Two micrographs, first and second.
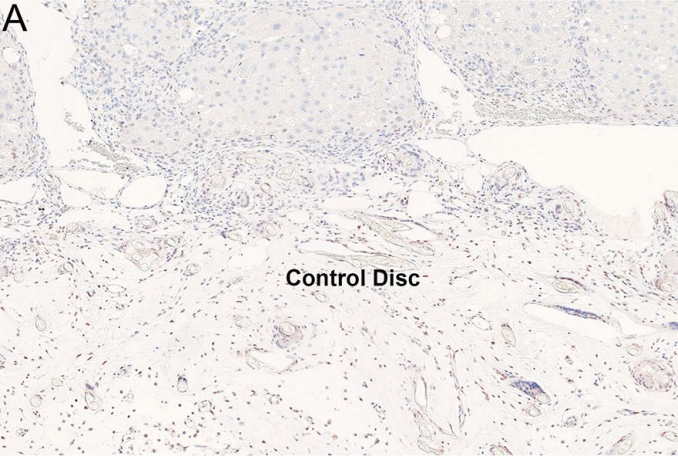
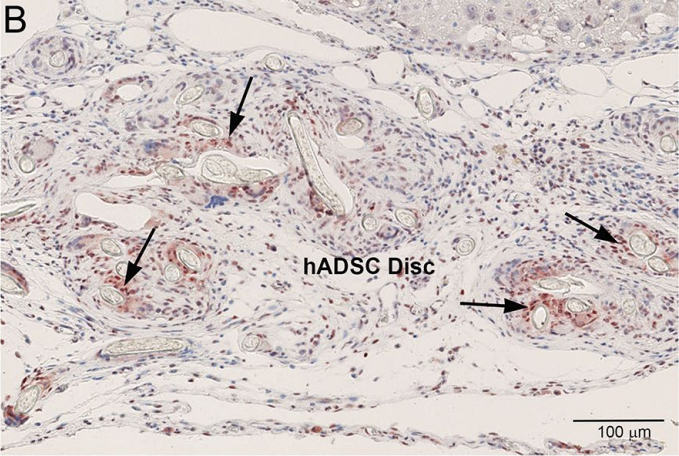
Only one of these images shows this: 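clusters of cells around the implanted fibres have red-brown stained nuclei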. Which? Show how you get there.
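The second image. Second image: groups of cells surrounding the round fibre cross-sections show red-brown nuclear staining.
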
